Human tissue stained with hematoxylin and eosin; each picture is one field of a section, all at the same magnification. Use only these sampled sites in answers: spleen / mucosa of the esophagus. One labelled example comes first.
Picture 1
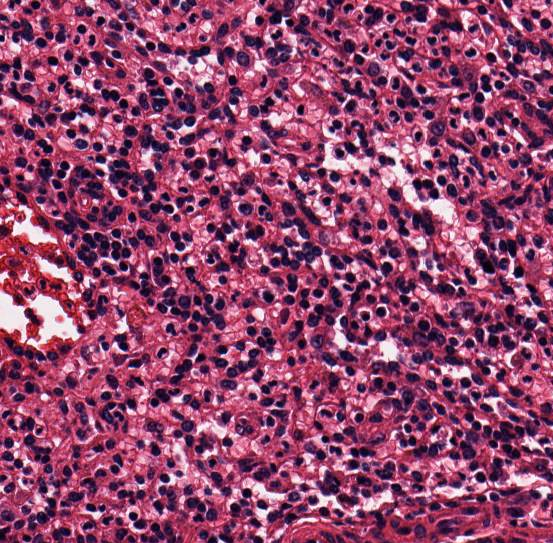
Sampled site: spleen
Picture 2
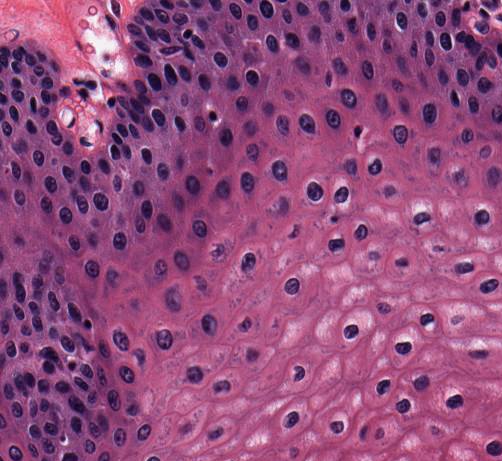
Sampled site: mucosa of the esophagus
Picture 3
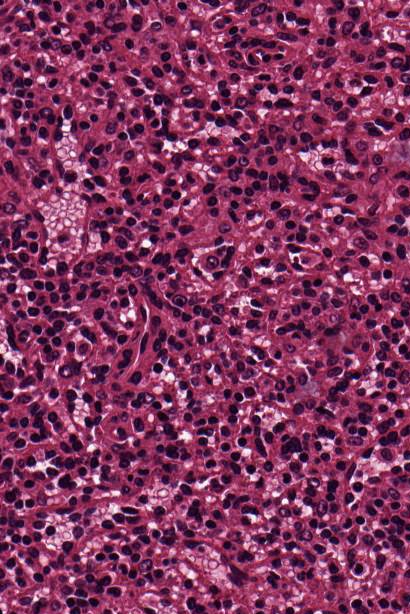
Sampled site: spleen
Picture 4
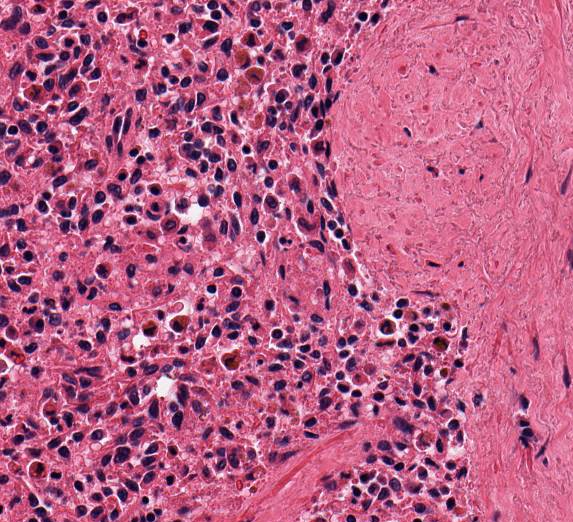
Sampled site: spleen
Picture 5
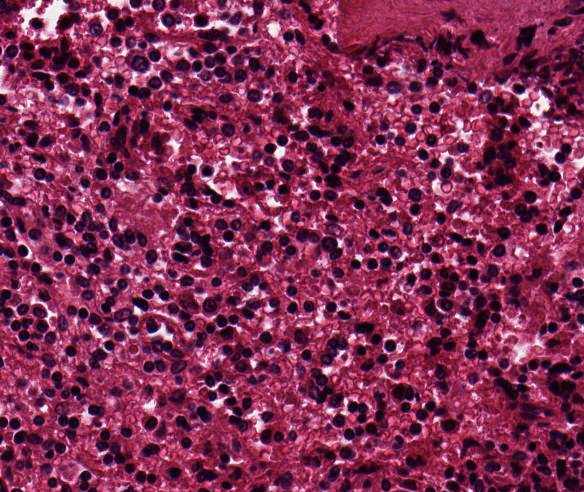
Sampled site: spleen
